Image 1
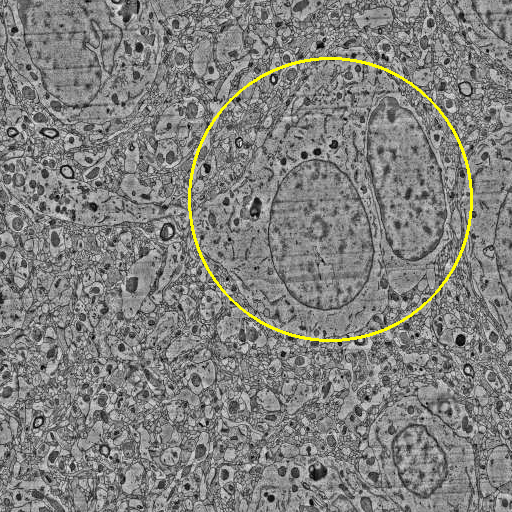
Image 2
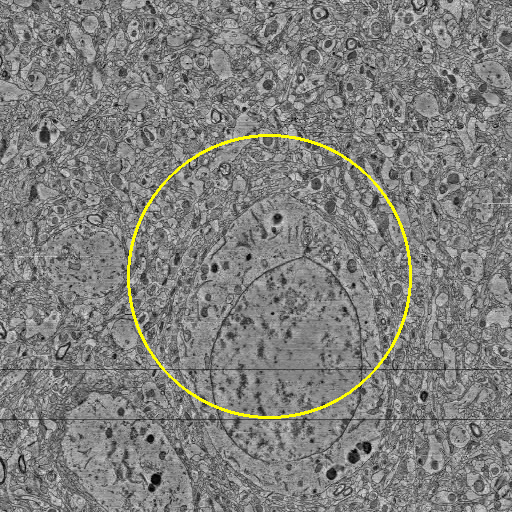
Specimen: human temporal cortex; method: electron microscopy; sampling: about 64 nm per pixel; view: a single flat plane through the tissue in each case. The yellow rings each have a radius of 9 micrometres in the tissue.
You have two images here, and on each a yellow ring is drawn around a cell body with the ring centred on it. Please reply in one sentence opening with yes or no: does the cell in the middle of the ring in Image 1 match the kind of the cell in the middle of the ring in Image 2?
Yes, the two images show cells of one kind at the centres of their rings.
